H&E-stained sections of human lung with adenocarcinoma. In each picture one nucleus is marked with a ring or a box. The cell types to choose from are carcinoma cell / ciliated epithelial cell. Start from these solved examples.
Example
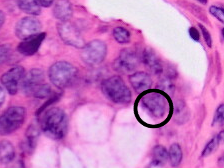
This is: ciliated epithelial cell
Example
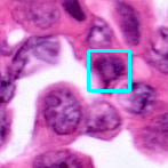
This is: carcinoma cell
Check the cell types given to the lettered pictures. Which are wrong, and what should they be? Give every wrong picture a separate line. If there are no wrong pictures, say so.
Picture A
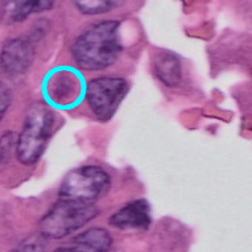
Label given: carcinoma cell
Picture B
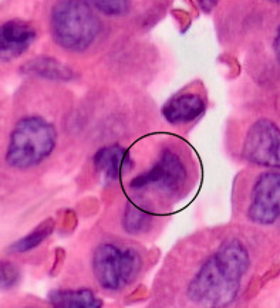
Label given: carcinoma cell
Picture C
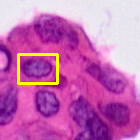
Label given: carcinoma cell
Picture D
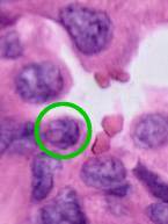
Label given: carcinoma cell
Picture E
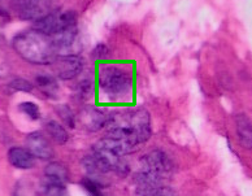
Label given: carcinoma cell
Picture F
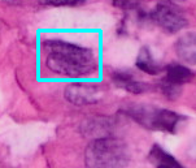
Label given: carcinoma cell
E: not carcinoma cell but ciliated epithelial cell
F: not carcinoma cell but ciliated epithelial cell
